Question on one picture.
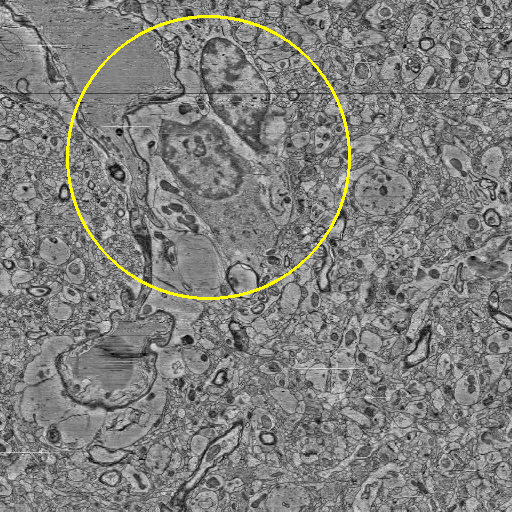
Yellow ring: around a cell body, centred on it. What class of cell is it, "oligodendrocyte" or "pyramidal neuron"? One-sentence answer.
This is an oligodendrocyte, the cell the ring is centred on.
